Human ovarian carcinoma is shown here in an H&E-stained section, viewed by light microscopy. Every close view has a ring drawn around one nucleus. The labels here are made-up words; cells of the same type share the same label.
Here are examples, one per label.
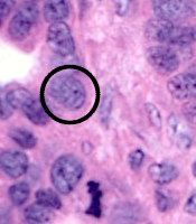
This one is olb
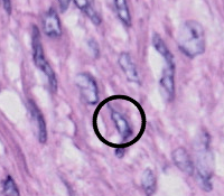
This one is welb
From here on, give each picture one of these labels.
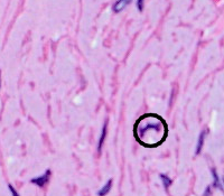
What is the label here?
welb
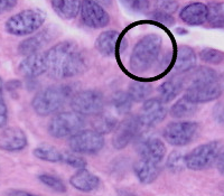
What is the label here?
olb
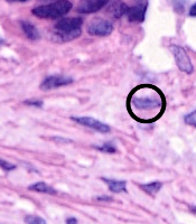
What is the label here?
welb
